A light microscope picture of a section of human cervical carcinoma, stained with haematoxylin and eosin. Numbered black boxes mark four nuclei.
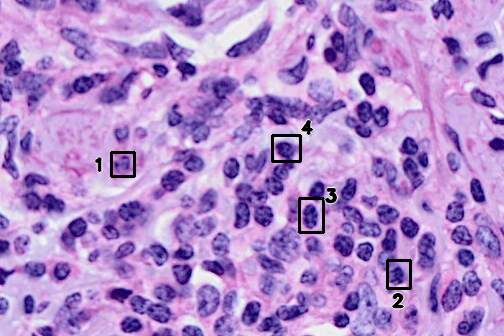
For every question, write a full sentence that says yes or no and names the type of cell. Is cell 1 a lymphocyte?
No, cell 1 is classified as a smooth muscle cell rather than a lymphocyte.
